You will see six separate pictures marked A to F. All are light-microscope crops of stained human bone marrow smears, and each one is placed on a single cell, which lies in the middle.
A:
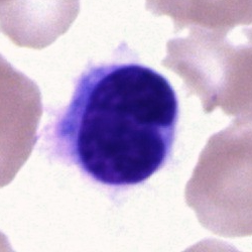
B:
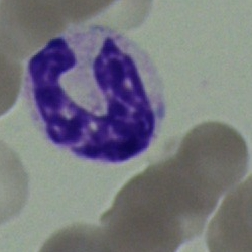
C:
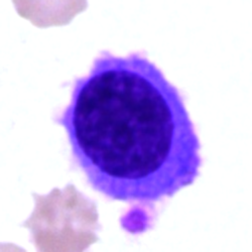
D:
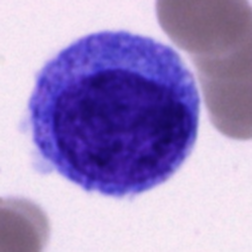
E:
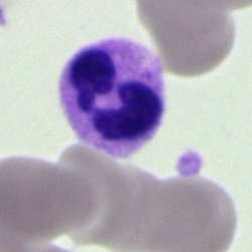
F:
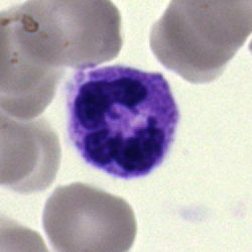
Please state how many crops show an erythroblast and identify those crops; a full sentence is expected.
Since erythroblasts are absent from each crop, the count is zero.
